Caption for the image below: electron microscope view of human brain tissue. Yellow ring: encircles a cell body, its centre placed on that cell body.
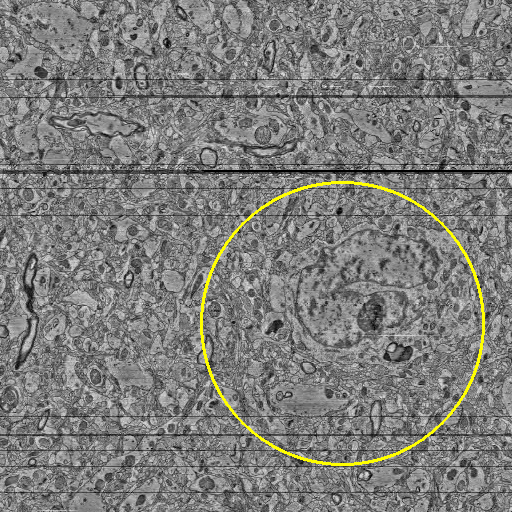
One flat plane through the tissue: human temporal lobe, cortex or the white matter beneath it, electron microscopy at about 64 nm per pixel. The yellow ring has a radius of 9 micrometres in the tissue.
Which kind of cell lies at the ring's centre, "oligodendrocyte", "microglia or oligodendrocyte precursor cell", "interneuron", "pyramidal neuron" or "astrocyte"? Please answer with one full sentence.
The picture shows an interneuron at the centre of the yellow ring.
